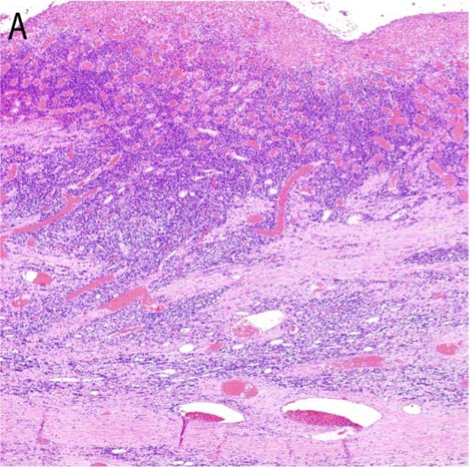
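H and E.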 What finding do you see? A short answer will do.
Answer: ulceration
